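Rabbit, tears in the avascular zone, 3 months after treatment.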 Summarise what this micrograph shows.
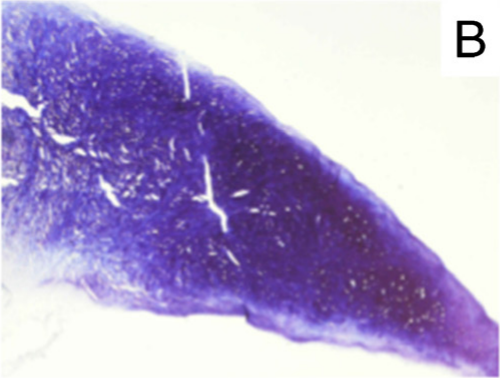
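This is a section of meniscal tissue cut as a wedge that tapers towards a thin inner edge. A few narrow clefts and slit-like spaces run through the tissue, but the section forms one continuous piece without a gap across it. The surface border stains slightly paler than the interior.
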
